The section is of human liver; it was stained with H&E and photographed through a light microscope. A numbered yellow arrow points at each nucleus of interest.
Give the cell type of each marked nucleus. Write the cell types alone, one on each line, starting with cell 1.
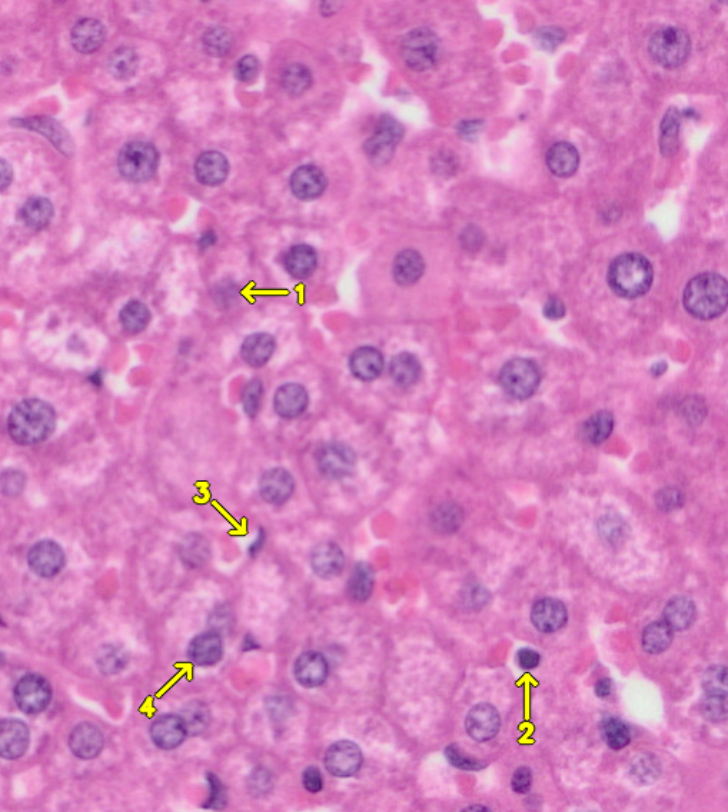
hepatocyte
lymphocyte
endothelial cell
hepatocyte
